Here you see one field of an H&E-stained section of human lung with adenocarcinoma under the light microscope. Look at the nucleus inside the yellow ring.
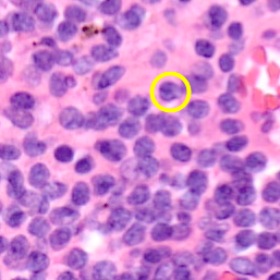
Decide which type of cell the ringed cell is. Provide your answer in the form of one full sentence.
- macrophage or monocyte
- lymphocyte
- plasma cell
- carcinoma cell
At the level of cell identity, the ringed cell is a lymphocyte.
